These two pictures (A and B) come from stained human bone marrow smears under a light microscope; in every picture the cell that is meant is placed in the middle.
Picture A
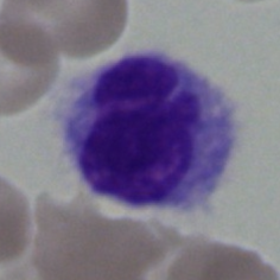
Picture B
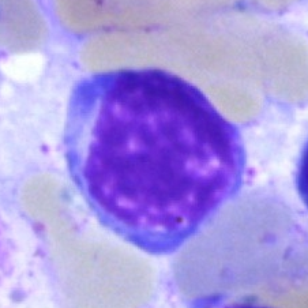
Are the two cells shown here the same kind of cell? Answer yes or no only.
no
